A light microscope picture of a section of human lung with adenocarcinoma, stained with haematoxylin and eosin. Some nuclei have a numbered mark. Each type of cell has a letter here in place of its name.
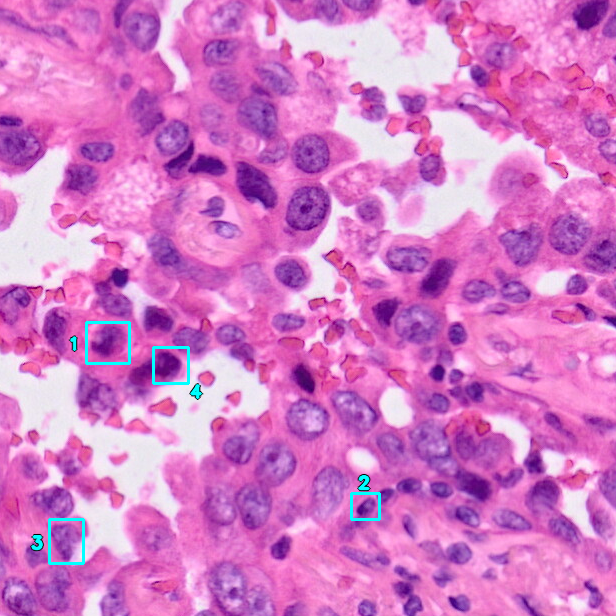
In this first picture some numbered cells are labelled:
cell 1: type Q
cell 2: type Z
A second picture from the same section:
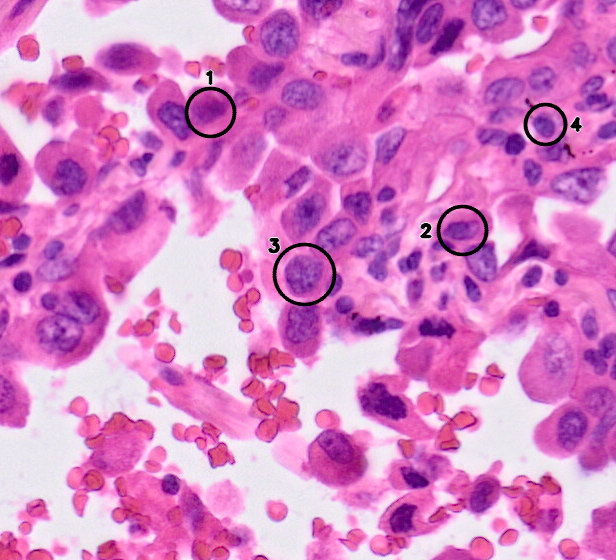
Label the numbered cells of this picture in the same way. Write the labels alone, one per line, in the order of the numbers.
type Q
type Q
type Q
type Z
